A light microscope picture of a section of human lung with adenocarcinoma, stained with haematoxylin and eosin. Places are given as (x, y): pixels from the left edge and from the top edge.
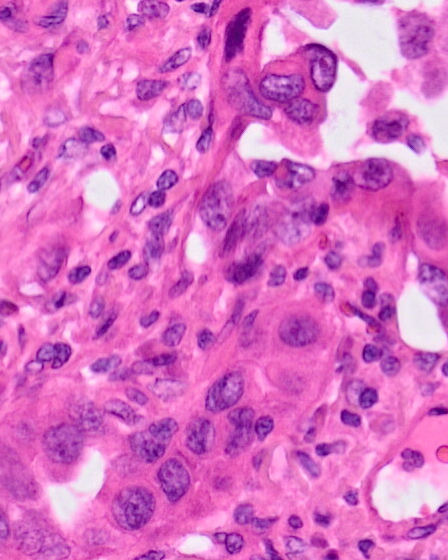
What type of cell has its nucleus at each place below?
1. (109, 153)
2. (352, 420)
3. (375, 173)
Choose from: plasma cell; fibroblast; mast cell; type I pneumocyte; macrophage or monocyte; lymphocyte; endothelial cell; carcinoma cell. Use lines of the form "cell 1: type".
cell 1: lymphocyte
cell 2: lymphocyte
cell 3: carcinoma cell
